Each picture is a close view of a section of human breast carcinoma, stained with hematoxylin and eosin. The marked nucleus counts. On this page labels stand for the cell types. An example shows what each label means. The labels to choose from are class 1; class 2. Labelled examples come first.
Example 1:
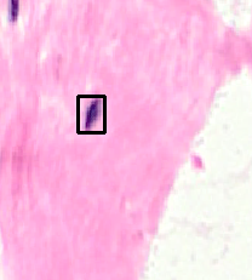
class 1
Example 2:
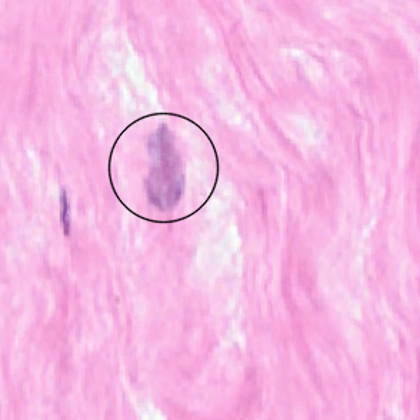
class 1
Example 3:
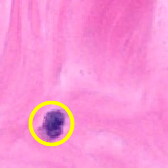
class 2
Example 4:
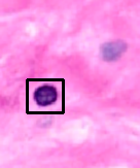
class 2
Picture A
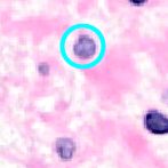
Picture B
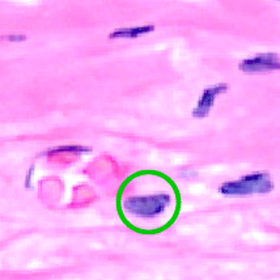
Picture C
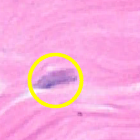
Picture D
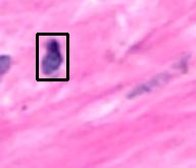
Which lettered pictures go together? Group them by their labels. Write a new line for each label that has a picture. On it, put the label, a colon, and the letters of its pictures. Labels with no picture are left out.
class 1: C
class 2: A, B, D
